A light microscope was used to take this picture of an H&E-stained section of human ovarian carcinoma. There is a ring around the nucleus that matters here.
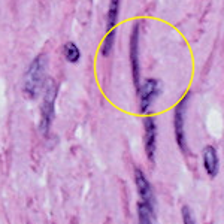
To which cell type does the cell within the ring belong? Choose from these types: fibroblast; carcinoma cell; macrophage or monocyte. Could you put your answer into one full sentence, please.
Assigned to a cell type, the cell within the ring is a fibroblast.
